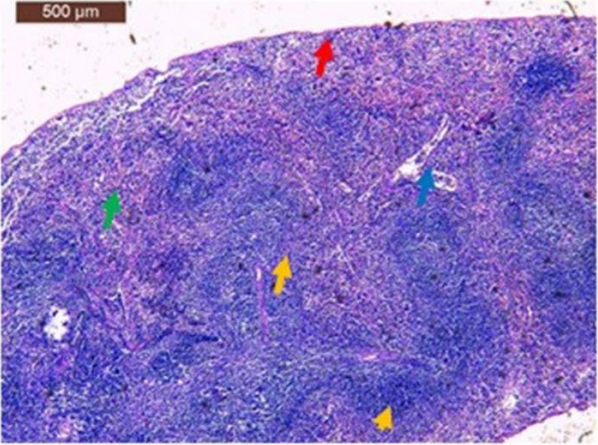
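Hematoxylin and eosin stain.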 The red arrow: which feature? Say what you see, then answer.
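Capsule. The red arrow points at the outer border of the section along its top edge. A thin, smooth, pinker layer lines the outer surface of the tissue.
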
